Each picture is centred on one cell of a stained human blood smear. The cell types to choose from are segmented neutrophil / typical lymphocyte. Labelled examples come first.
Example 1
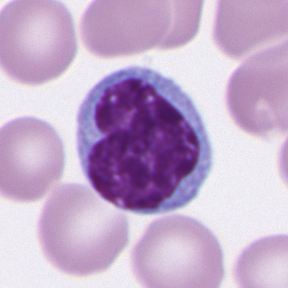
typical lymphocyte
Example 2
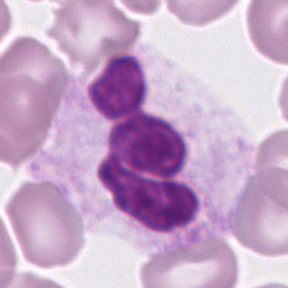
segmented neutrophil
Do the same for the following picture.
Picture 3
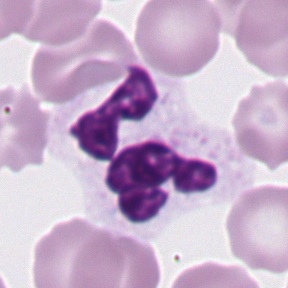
segmented neutrophil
